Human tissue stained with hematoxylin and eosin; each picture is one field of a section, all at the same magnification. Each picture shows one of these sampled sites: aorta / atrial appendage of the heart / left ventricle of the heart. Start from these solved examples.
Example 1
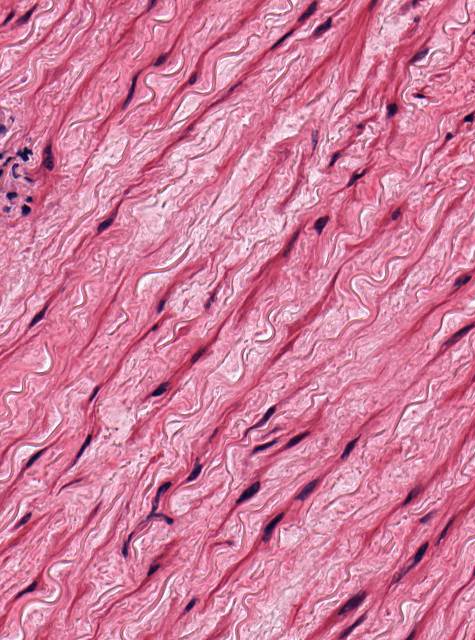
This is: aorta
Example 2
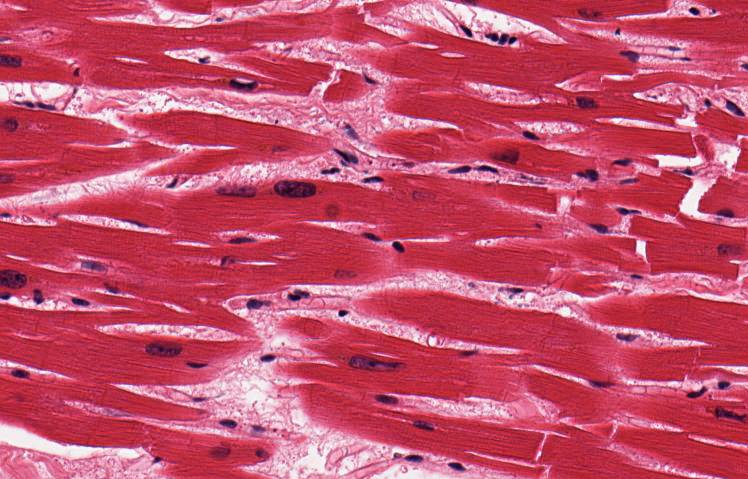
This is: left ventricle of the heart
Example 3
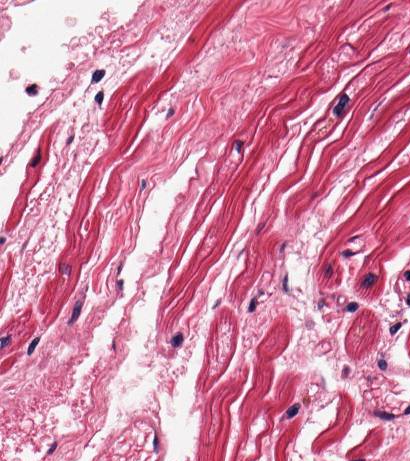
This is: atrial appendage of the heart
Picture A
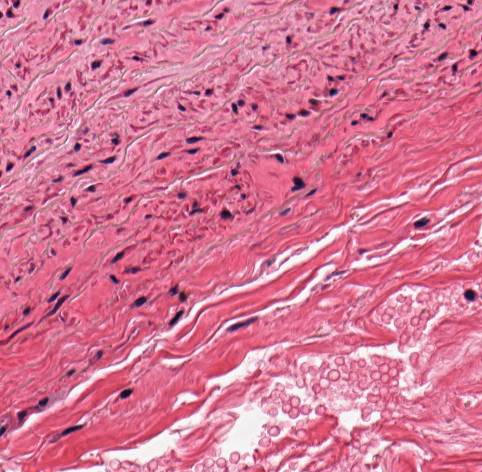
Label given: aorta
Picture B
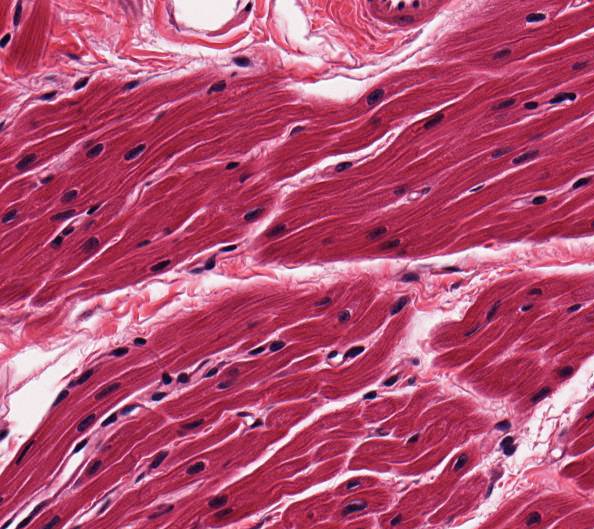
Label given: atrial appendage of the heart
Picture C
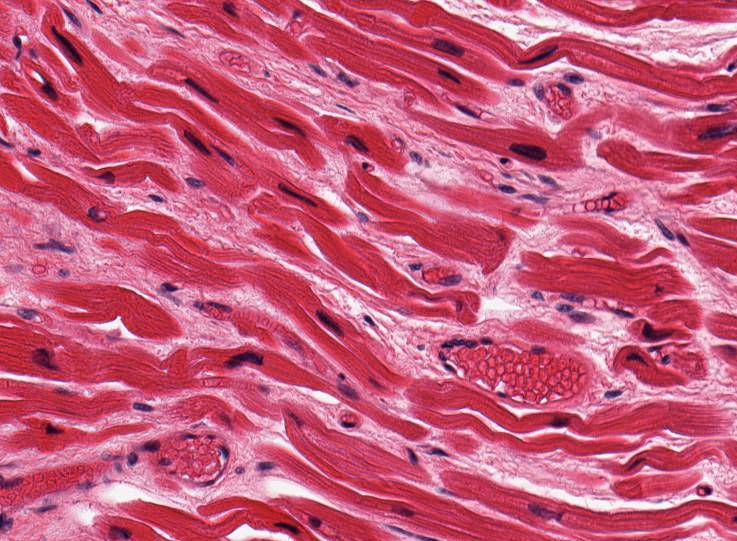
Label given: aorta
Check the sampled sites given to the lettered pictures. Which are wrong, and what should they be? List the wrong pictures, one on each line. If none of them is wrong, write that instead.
C: change aorta to atrial appendage of the heart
